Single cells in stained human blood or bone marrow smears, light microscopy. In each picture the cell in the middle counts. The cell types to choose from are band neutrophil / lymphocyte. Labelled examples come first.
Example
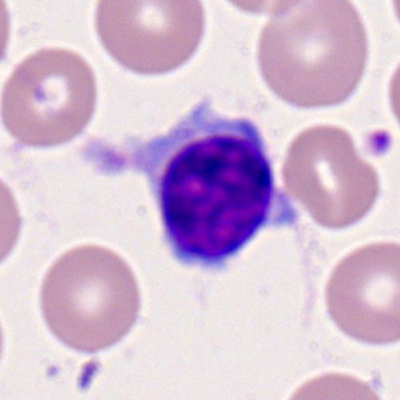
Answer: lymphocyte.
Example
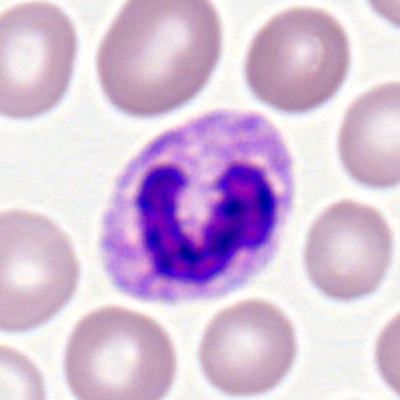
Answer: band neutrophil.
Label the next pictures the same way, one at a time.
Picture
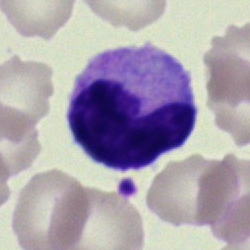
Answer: band neutrophil.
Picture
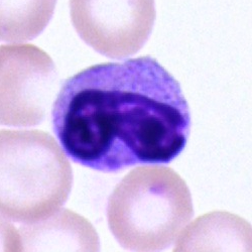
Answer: band neutrophil.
